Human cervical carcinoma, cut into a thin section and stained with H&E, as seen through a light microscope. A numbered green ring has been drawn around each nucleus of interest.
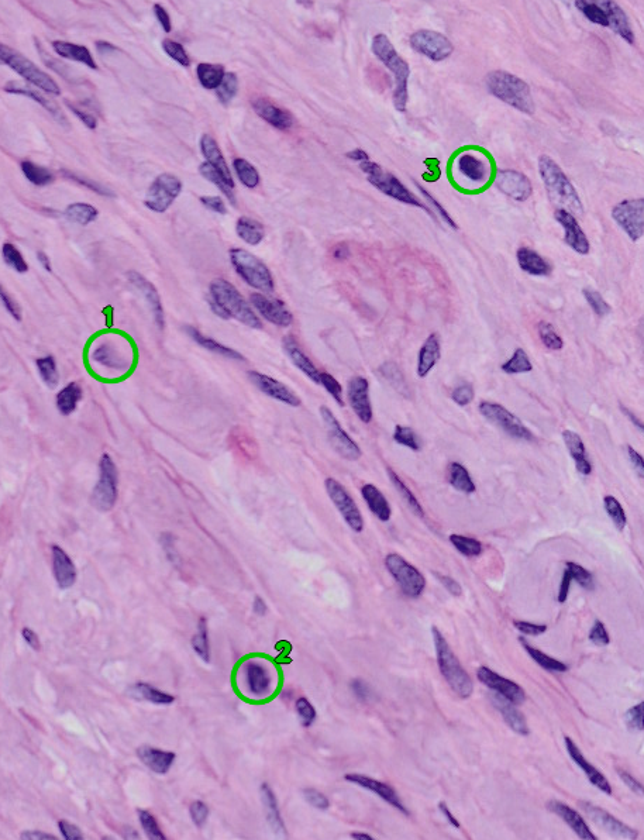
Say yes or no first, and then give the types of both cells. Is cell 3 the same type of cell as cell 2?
Yes, within the numbered set, cells 3 and 2 are both lymphocytes.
